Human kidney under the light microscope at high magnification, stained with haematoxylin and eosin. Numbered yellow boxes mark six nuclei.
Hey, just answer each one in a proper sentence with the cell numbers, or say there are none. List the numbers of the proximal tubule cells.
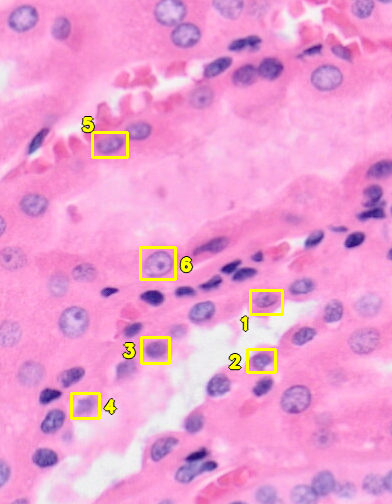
The cells with the numbers 5 and 6 are proximal tubule cells.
